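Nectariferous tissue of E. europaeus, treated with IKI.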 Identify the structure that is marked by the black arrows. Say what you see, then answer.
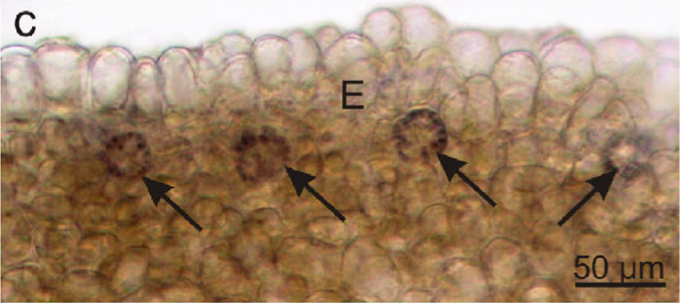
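Nectarostomata. Each arrow points to a small rounded structure with a dark granular rim.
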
